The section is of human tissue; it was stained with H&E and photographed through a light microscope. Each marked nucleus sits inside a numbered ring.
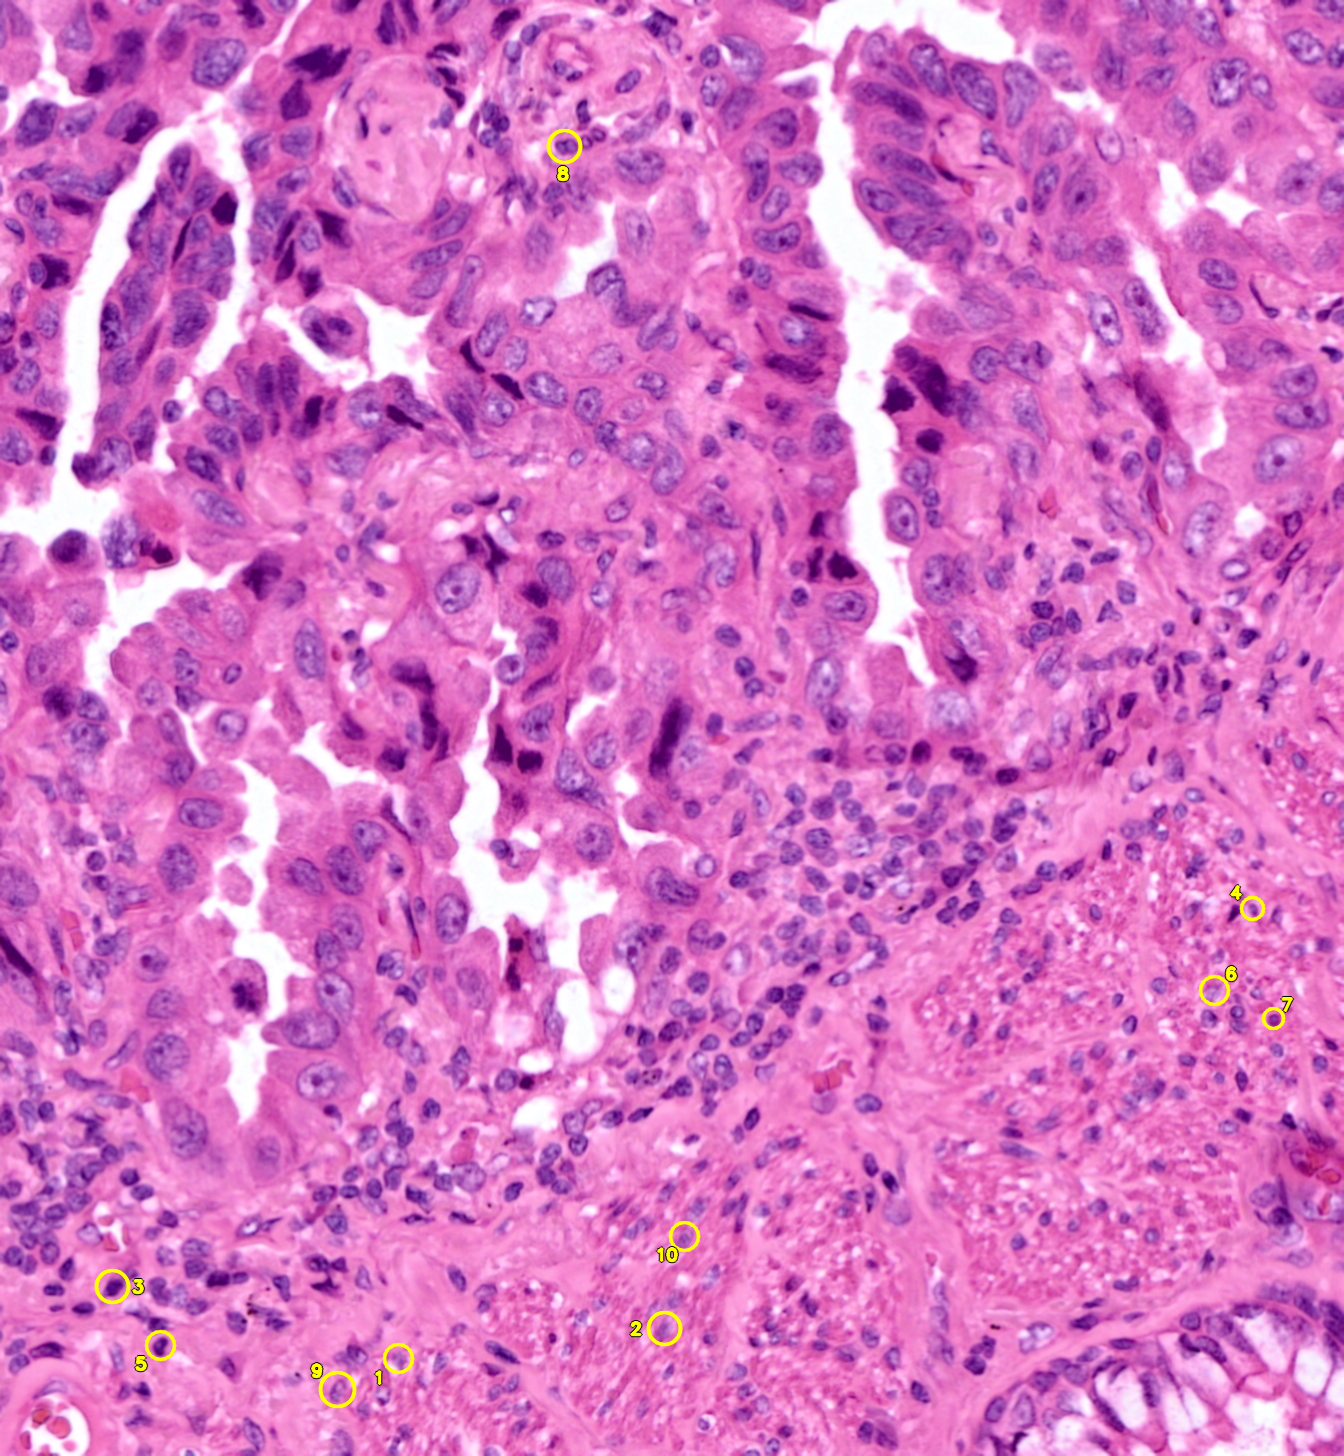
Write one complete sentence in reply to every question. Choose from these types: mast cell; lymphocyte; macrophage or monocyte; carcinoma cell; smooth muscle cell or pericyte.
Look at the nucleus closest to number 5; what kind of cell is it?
The nearest nucleus to number 5 belongs to a lymphocyte.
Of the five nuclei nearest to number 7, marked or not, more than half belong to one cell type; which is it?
Smooth muscle cells or pericytes account for more than half of the five nuclei nearest to number 7.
